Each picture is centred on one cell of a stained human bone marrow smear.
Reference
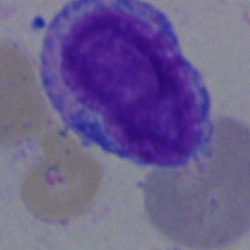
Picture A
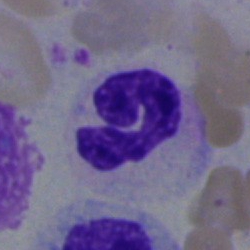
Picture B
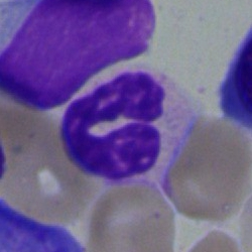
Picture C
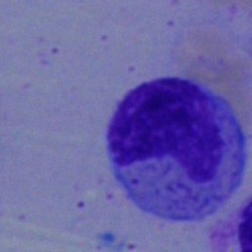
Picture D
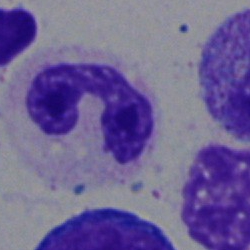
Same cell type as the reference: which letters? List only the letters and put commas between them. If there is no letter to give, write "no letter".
no letter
